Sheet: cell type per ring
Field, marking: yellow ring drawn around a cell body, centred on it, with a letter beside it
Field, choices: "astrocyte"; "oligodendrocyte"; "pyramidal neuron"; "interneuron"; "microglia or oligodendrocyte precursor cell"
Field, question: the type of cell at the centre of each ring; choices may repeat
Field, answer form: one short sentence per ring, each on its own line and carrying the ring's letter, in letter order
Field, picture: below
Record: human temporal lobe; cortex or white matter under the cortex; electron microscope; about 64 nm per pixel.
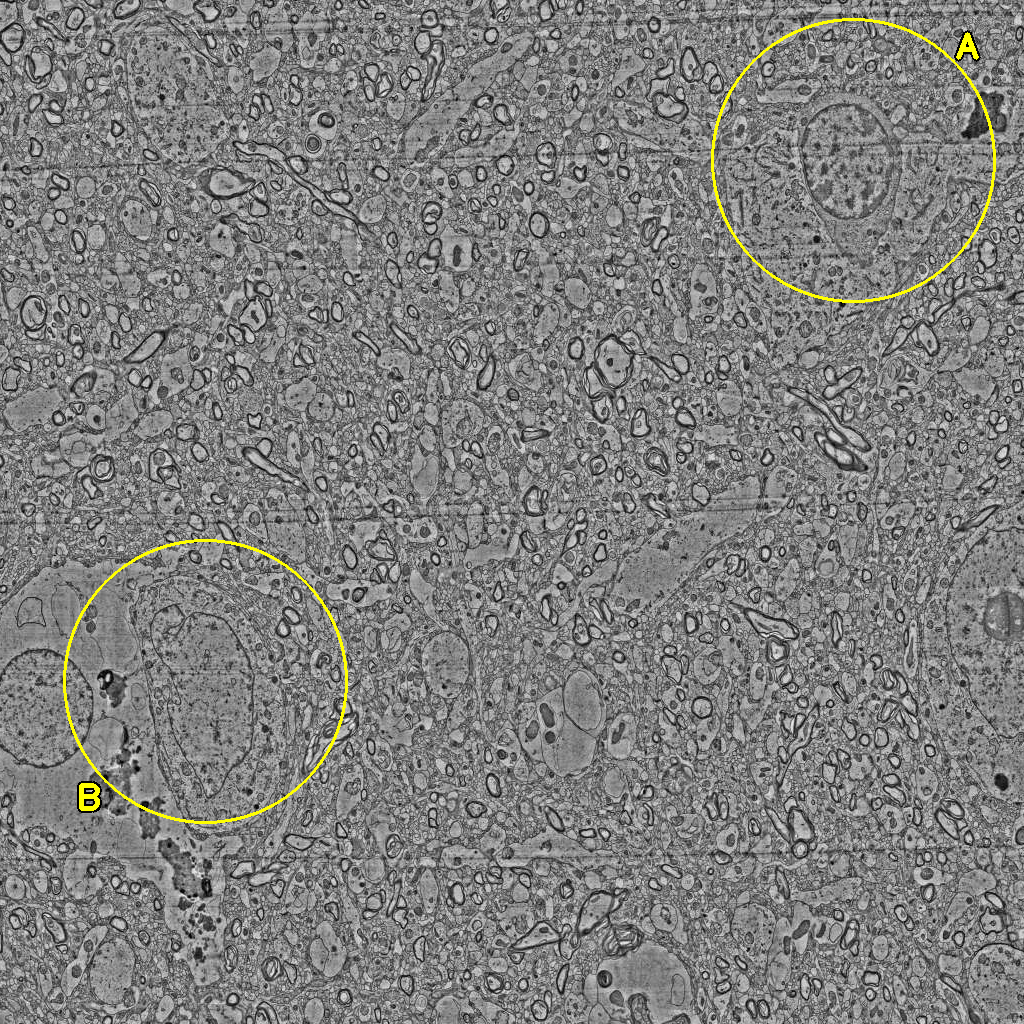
The cell body inside ring A, at its centre, is an oligodendrocyte.
The cell body inside ring B, at its centre, is a pyramidal neuron.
